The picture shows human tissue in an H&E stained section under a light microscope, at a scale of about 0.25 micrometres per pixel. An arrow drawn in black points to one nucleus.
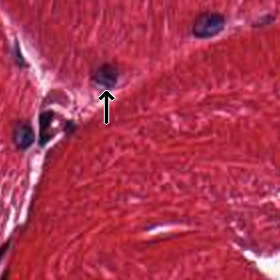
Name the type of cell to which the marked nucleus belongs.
skeletal muscle fibre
